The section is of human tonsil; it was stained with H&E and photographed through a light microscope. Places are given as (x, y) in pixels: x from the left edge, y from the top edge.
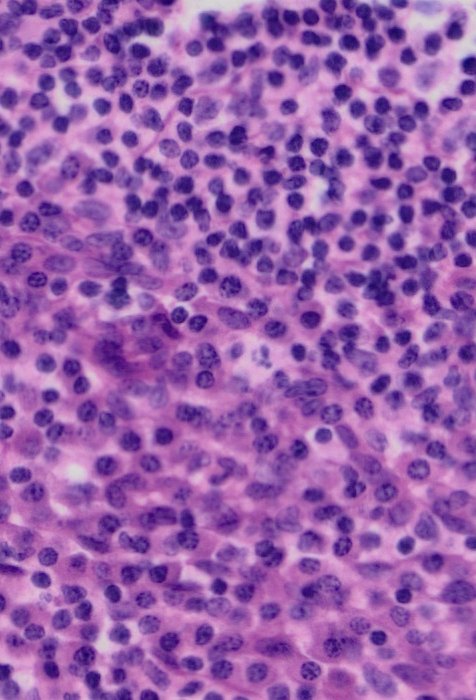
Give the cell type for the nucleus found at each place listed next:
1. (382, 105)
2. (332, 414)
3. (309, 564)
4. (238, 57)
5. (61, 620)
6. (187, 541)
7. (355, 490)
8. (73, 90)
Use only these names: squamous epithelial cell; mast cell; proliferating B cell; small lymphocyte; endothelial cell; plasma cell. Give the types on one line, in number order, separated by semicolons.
small lymphocyte; plasma cell; plasma cell; small lymphocyte; plasma cell; plasma cell; plasma cell; small lymphocyte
